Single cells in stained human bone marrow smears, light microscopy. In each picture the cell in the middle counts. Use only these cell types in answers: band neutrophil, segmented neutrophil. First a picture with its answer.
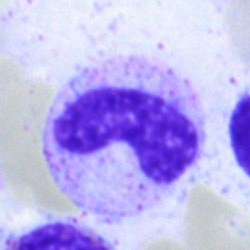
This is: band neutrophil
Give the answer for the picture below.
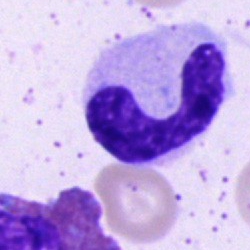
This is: band neutrophil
